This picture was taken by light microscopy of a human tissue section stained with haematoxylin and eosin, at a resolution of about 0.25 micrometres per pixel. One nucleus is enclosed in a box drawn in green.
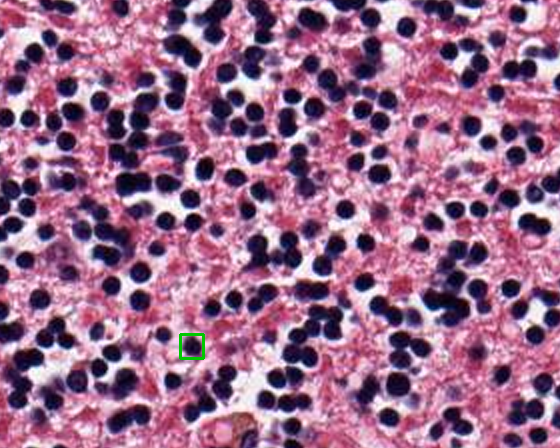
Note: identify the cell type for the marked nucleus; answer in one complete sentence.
In the section shown, the marked nucleus belongs to a cerebellar granule cell.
